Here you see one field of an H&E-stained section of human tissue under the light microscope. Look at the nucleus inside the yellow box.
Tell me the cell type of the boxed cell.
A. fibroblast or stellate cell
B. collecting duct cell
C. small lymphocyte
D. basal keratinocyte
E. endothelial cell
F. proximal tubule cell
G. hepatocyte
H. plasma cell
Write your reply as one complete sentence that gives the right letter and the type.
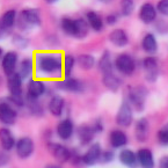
It is option C that correctly calls the boxed cell a small lymphocyte.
